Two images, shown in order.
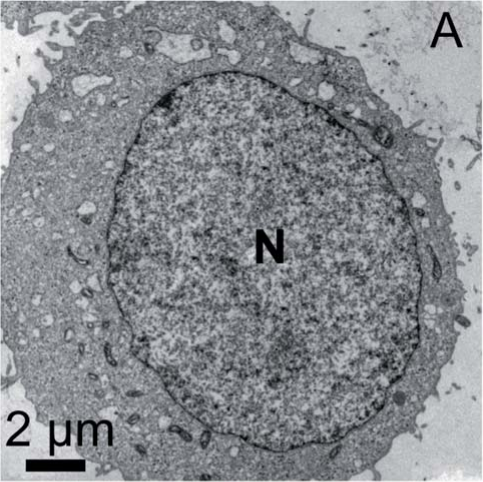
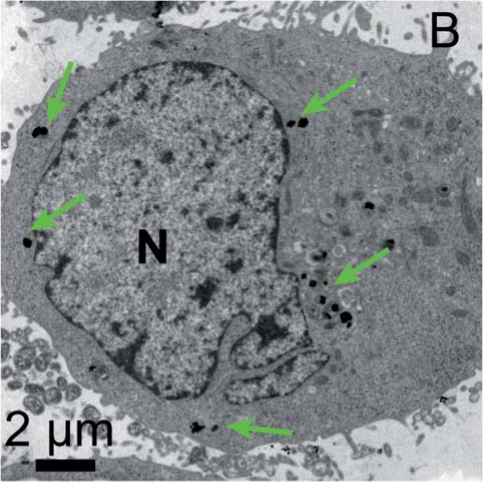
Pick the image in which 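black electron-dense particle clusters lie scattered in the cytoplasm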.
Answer: the second image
